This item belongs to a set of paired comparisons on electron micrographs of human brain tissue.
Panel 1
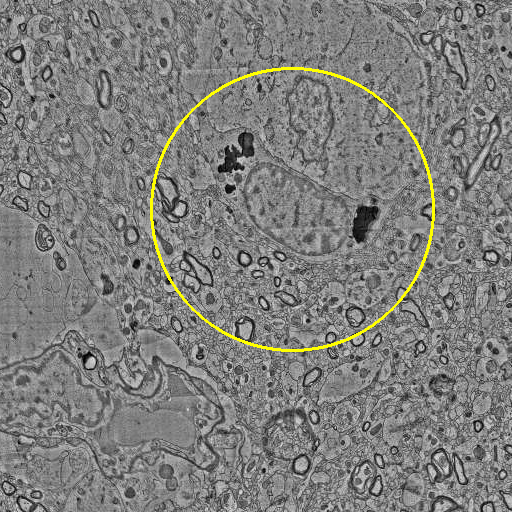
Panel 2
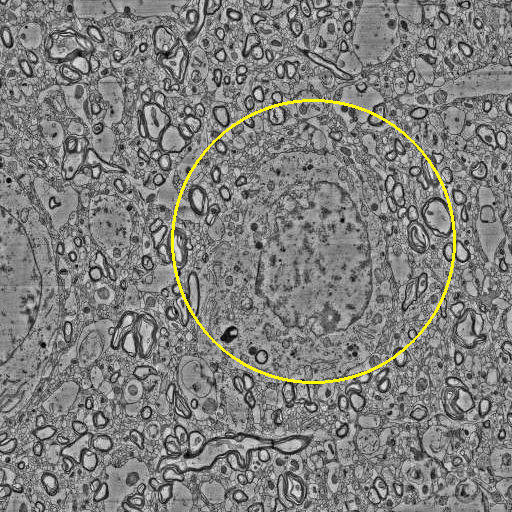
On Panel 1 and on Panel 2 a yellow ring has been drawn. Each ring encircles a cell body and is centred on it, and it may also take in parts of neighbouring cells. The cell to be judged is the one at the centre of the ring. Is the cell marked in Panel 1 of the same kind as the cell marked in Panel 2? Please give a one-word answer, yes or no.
no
